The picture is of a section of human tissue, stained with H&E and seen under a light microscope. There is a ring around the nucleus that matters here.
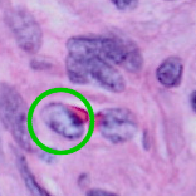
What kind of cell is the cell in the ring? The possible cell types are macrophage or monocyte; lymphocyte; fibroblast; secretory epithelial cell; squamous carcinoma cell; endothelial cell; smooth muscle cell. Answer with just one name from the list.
endothelial cell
